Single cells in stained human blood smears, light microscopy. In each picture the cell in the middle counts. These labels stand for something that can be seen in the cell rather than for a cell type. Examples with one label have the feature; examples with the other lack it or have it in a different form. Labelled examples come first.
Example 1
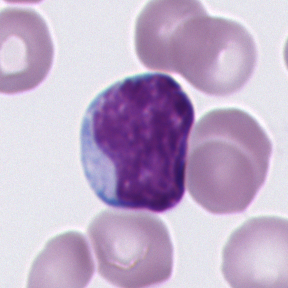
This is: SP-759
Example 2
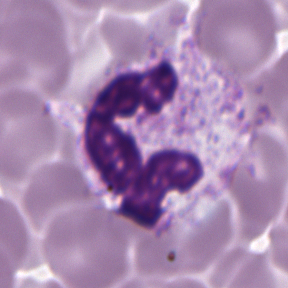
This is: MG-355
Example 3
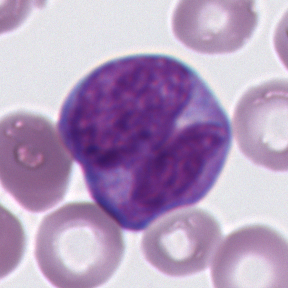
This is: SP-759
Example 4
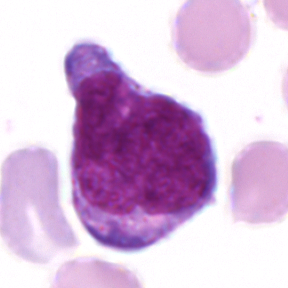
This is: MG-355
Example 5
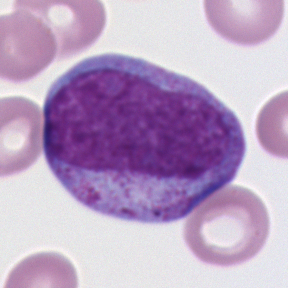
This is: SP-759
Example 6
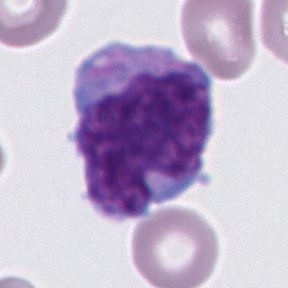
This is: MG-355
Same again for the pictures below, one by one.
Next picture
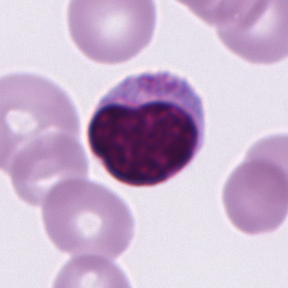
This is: SP-759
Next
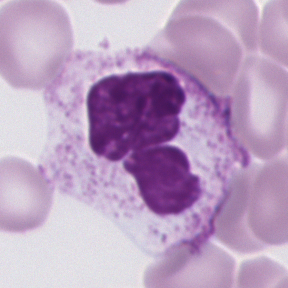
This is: MG-355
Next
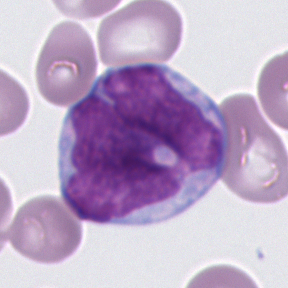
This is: SP-759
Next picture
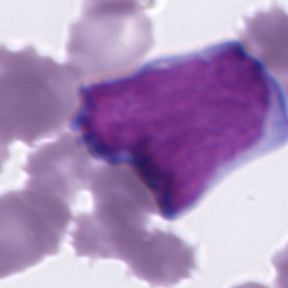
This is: MG-355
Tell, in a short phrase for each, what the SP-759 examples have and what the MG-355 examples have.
SP-759, smooth outline; MG-355, ragged outline or projections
